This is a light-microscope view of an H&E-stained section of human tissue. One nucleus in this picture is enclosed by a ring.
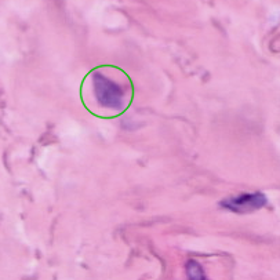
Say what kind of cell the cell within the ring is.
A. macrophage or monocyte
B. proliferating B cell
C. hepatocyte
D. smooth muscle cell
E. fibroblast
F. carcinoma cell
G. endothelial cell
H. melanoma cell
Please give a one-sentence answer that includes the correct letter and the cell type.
Option E wins here: the cell within the ring is a fibroblast.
